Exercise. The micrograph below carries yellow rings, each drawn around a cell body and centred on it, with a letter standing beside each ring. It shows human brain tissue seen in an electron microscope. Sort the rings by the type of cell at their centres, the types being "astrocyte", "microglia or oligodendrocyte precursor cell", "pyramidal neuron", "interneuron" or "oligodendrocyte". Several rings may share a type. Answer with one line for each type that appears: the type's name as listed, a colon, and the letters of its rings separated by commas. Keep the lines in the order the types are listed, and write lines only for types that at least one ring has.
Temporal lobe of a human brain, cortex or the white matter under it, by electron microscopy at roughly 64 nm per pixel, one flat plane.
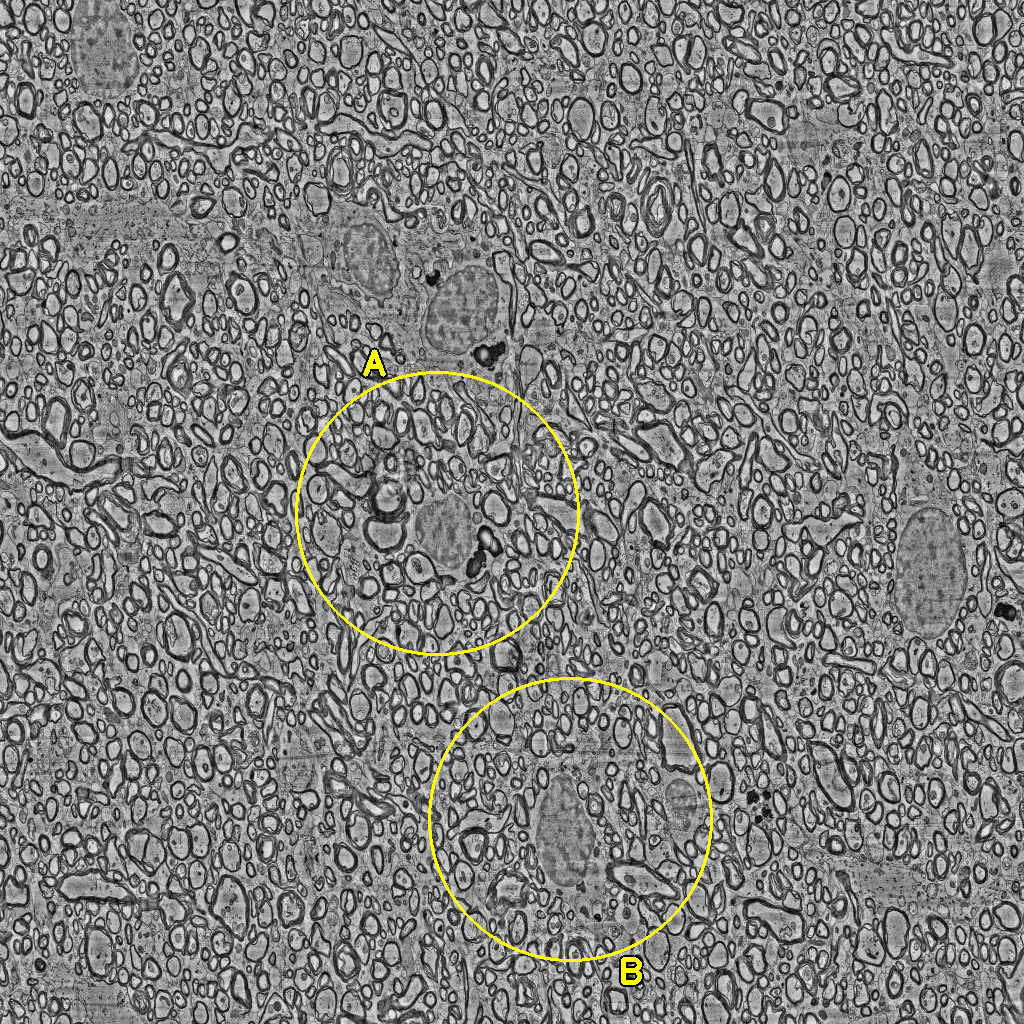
oligodendrocyte: A, B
